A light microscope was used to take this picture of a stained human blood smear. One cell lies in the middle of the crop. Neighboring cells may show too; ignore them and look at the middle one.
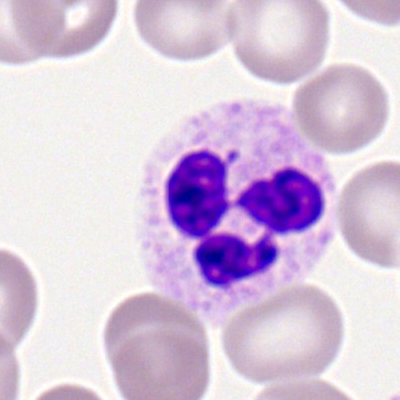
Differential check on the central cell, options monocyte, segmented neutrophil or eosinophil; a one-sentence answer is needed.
The cell nearest the centre of this crop is a segmented neutrophil.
